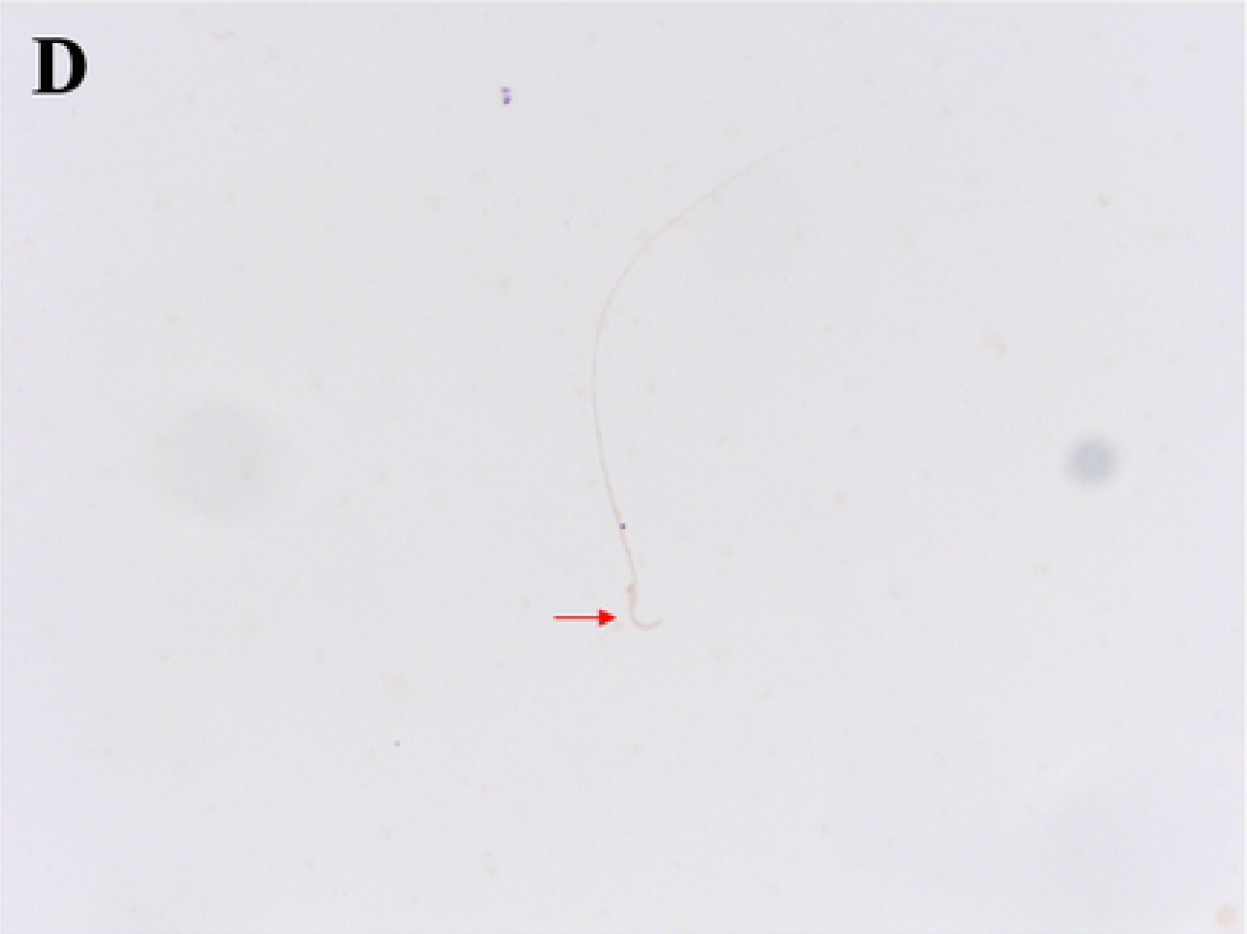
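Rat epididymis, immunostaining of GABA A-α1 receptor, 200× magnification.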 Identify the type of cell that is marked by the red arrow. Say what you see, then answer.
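Spermatozoon. The arrow points to a small hooked head. A long thin tail extends upward from the head. It is a single isolated cell.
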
